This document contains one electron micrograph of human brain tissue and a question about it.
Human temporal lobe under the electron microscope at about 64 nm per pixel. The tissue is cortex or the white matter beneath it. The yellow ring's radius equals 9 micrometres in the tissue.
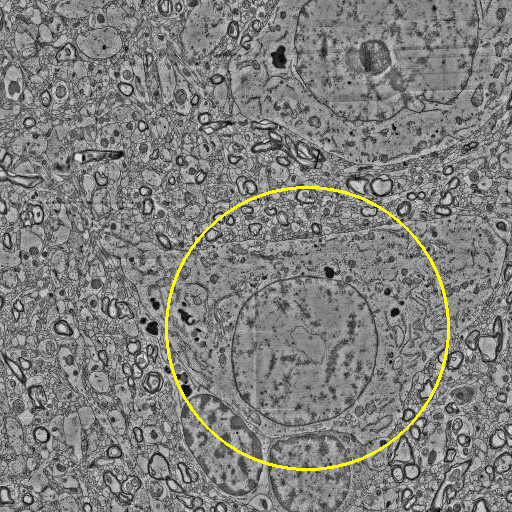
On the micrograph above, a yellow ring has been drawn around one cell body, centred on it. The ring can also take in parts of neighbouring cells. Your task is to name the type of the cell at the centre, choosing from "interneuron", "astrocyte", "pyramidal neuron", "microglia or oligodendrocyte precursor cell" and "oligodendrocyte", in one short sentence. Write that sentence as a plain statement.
Here the ring is centred on a pyramidal neuron.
